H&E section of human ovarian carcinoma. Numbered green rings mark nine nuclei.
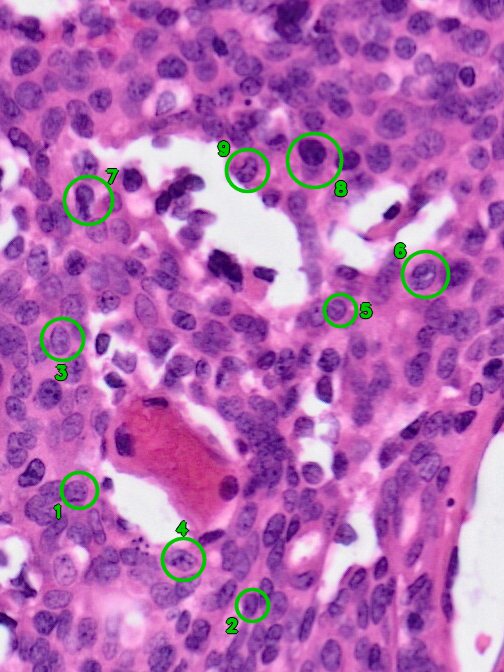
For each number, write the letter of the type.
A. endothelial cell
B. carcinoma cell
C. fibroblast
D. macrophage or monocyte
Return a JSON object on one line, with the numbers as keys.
{"1": "B", "2": "B", "3": "B", "4": "D", "5": "B", "6": "D", "7": "D", "8": "B", "9": "D"}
